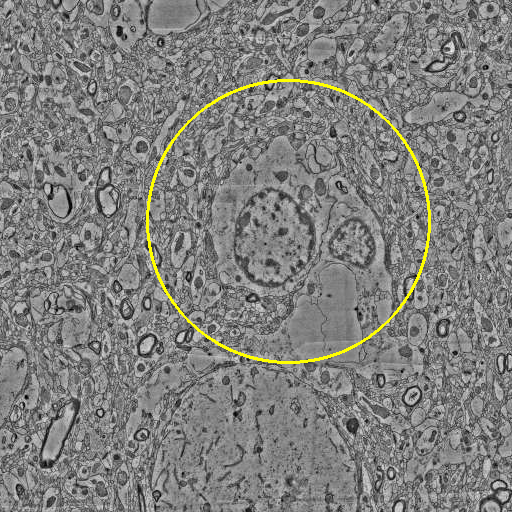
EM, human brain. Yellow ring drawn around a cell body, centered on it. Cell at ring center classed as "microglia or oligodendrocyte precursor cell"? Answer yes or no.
no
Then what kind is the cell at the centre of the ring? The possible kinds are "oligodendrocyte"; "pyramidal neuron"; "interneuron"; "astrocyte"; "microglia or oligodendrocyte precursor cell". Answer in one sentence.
It is an astrocyte at the centre of the ring.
